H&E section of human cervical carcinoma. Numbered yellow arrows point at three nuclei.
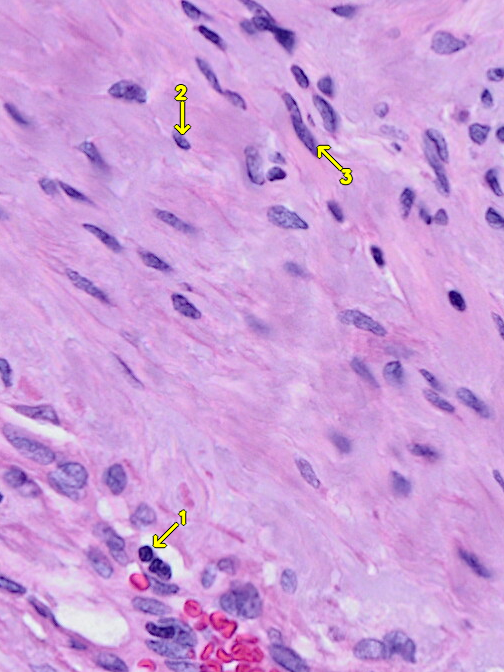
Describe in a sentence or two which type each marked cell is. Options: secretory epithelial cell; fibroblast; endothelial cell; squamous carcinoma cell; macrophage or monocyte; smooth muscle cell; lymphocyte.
Cell 1 is a lymphocyte, cell 2 is a fibroblast and cell 3 is a fibroblast.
